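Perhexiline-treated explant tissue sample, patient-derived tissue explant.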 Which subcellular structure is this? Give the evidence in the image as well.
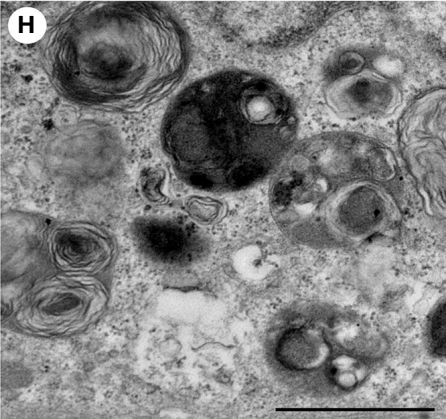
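Several rounded membrane-bound compartments lie in the cytoplasm. Some contain concentric whorls of membrane. Others hold dense or mixed material with small clear vesicles. That points to this answer: Autophagic vacuoles.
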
